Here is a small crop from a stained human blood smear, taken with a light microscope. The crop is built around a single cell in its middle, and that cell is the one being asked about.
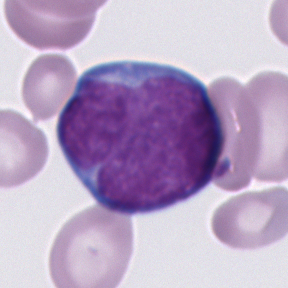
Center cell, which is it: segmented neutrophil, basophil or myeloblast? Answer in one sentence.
The crop centres on a single cell, and that cell is a myeloblast.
